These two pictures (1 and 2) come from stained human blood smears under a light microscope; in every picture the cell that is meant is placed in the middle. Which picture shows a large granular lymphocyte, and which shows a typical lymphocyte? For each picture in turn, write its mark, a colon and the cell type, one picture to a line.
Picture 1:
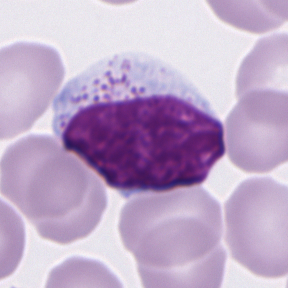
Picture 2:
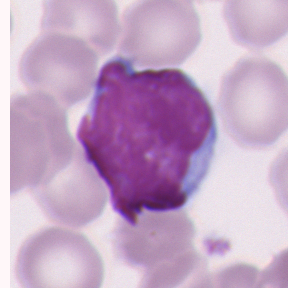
1: large granular lymphocyte
2: typical lymphocyte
